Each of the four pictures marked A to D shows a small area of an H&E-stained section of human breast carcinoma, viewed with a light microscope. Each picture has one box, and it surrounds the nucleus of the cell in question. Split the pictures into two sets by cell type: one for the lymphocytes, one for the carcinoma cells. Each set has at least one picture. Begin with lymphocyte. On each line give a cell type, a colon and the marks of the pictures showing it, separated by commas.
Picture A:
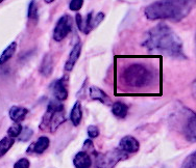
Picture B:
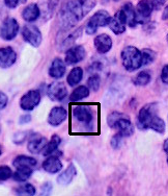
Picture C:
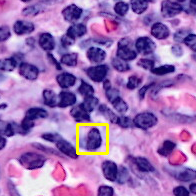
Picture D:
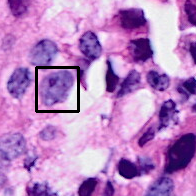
lymphocyte: B, C
carcinoma cell: A, D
